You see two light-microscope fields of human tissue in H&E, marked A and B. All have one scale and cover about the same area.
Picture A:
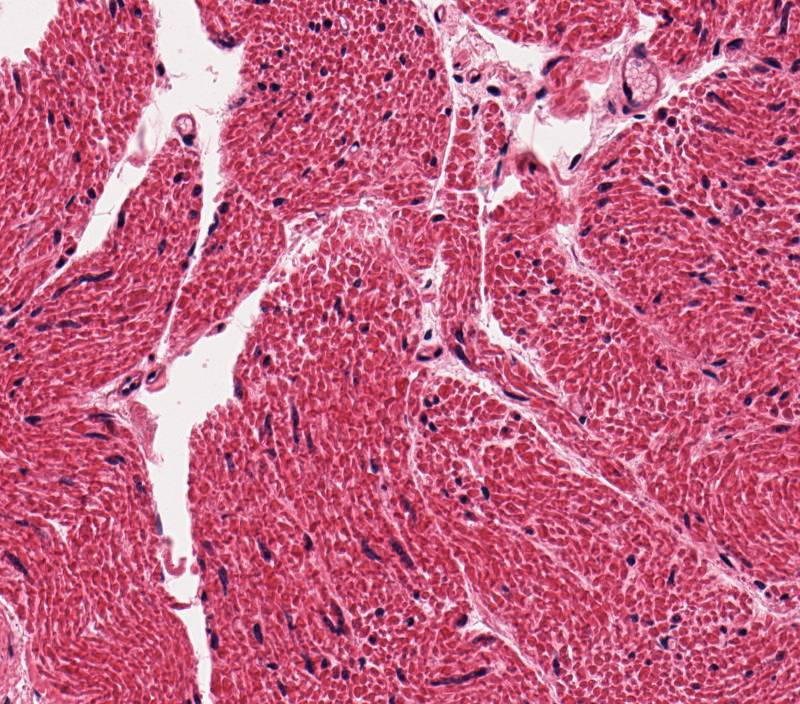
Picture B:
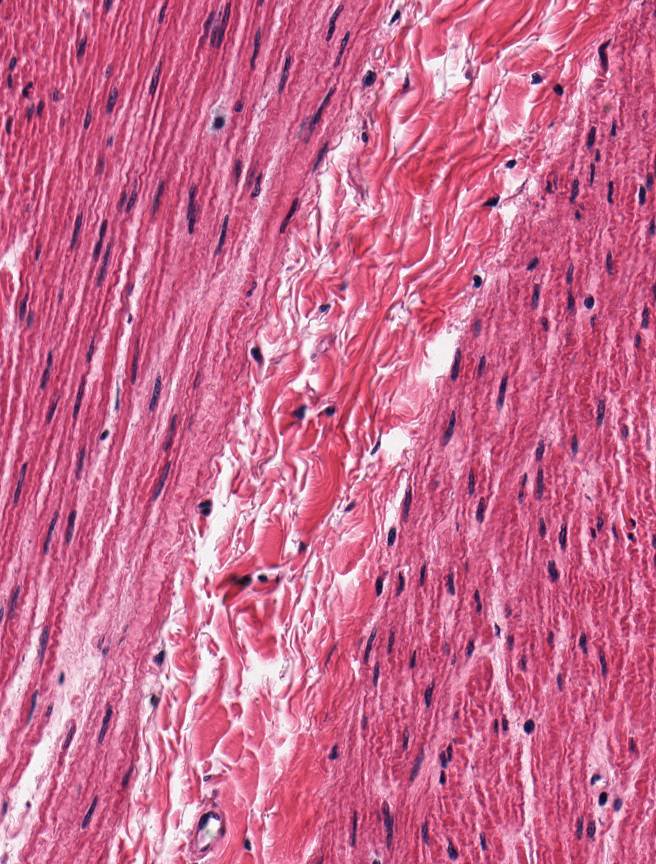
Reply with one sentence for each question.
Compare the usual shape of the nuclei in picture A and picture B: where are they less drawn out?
Rounder nuclei lie in picture A.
